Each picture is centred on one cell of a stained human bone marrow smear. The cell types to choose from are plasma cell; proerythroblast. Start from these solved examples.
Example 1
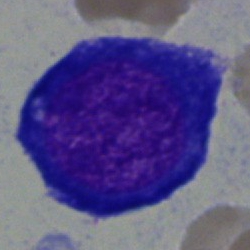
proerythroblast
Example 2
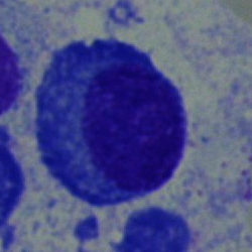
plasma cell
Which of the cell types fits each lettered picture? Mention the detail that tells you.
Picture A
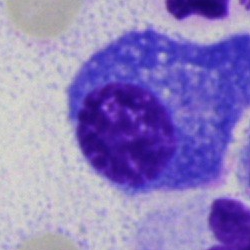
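plasma cell. Reason: The chromatin is dark purple and coarsely clumped.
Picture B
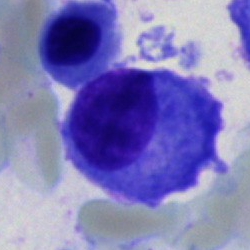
plasma cell. Reason: A broad rim of cytoplasm extends to the right of the nucleus.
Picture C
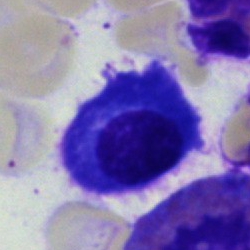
plasma cell. Reason: The cytoplasm is plentiful and stains a deep, intense blue.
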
